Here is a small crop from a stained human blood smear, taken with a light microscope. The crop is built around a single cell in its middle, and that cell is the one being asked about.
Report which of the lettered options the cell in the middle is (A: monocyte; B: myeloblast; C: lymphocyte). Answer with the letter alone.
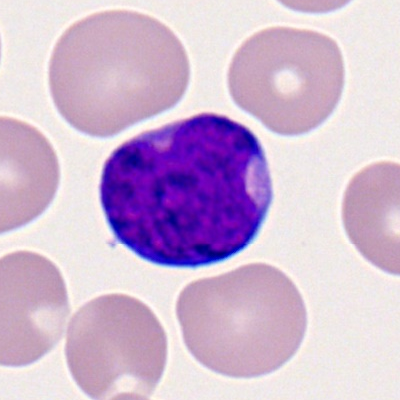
B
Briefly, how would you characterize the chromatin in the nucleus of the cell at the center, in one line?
One feature to record is coarsely clumped chromatin.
